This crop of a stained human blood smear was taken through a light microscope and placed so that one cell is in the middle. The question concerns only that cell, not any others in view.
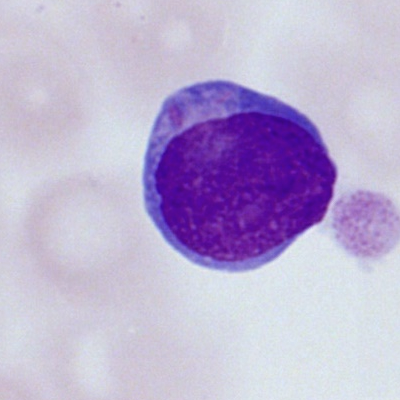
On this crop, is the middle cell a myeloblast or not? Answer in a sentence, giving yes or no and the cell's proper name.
Yes, the cell positioned in the middle is a myeloblast.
